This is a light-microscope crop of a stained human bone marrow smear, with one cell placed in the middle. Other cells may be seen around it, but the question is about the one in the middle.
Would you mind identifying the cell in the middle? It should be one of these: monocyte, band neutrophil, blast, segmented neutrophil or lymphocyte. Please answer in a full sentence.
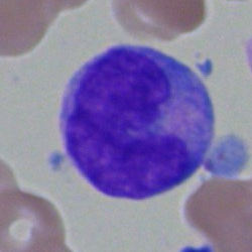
The cell at the middle of the frame should be recorded as a monocyte.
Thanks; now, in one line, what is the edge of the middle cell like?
Its periphery is smooth, and no projections arise from it.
